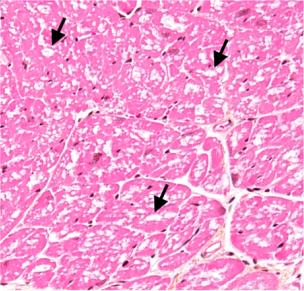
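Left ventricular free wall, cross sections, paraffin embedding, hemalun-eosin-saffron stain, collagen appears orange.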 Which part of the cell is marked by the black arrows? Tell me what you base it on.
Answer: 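Vacuoles. Many fibres show clear, empty-looking holes in their pink cytoplasm. The arrows point at fibres with a foamy, vacuolated look.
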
